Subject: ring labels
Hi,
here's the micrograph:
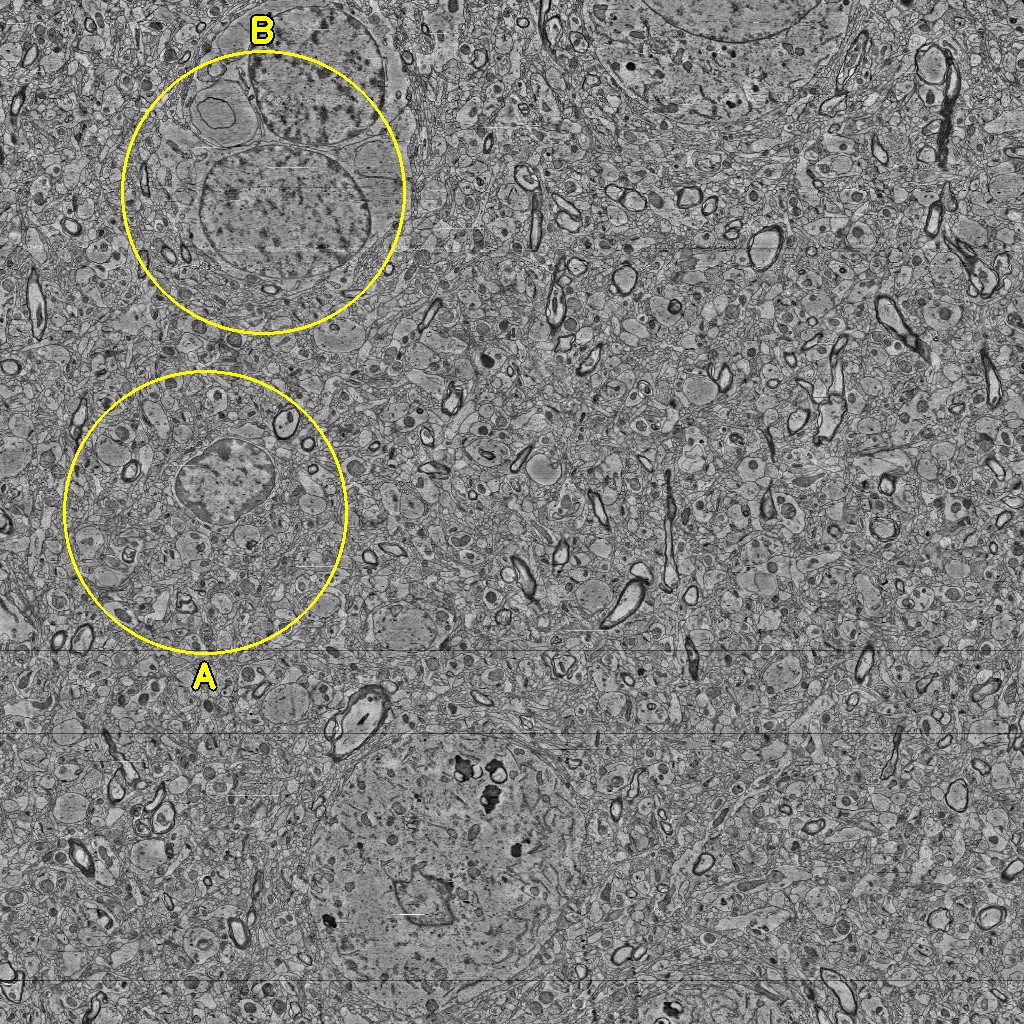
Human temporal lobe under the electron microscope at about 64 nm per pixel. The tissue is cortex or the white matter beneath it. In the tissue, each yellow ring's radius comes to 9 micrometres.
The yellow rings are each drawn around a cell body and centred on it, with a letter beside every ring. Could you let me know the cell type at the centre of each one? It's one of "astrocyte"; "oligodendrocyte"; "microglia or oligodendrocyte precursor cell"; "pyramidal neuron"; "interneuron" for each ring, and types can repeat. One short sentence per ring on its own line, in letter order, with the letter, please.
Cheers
The type at the centre of ring A is a microglial cell or oligodendrocyte precursor cell.
The type at the centre of ring B is an astrocyte.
